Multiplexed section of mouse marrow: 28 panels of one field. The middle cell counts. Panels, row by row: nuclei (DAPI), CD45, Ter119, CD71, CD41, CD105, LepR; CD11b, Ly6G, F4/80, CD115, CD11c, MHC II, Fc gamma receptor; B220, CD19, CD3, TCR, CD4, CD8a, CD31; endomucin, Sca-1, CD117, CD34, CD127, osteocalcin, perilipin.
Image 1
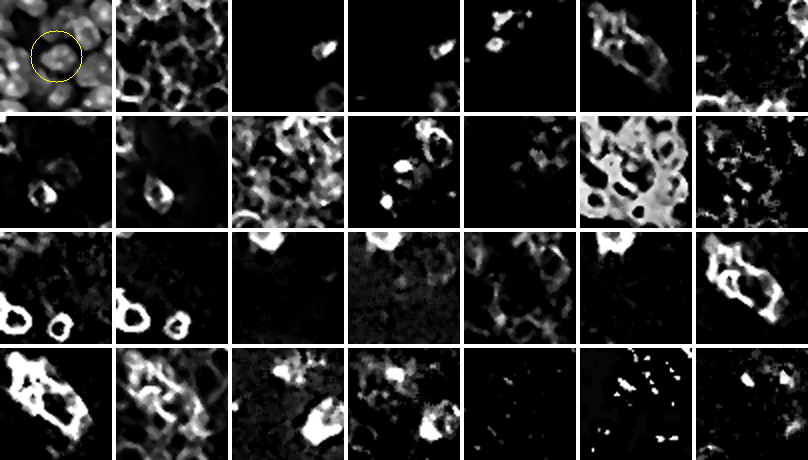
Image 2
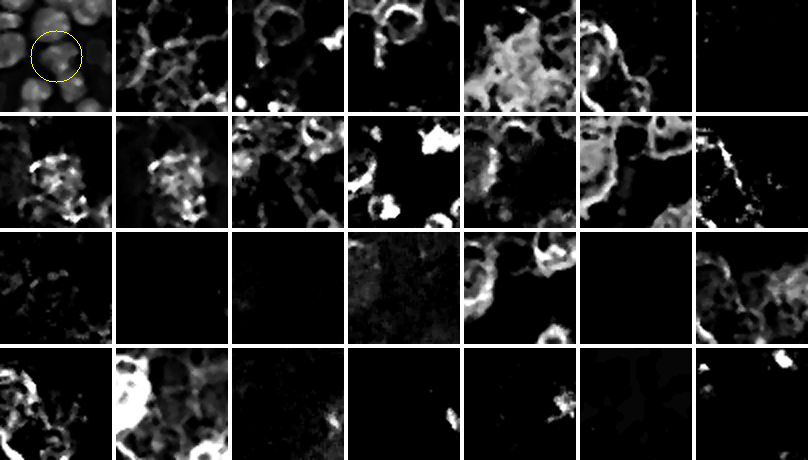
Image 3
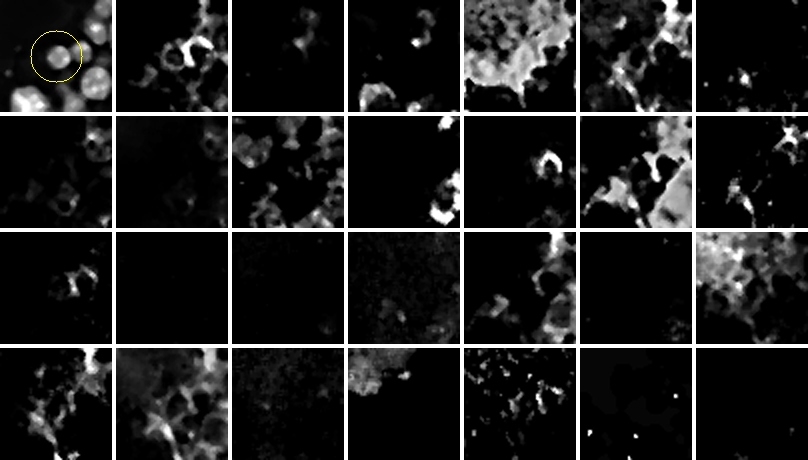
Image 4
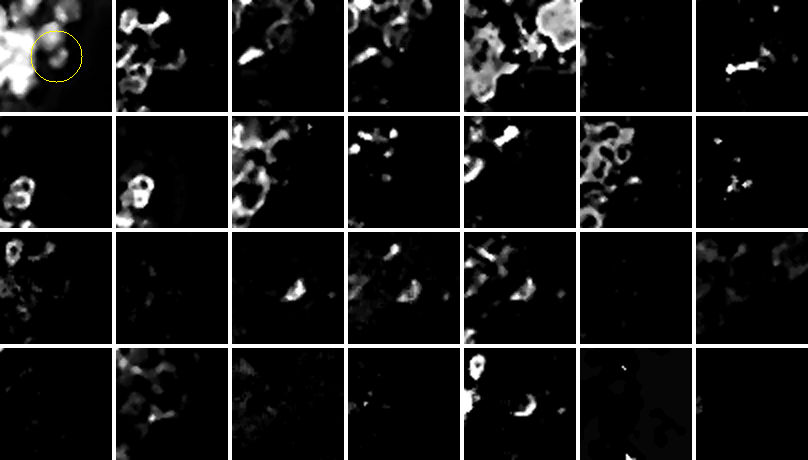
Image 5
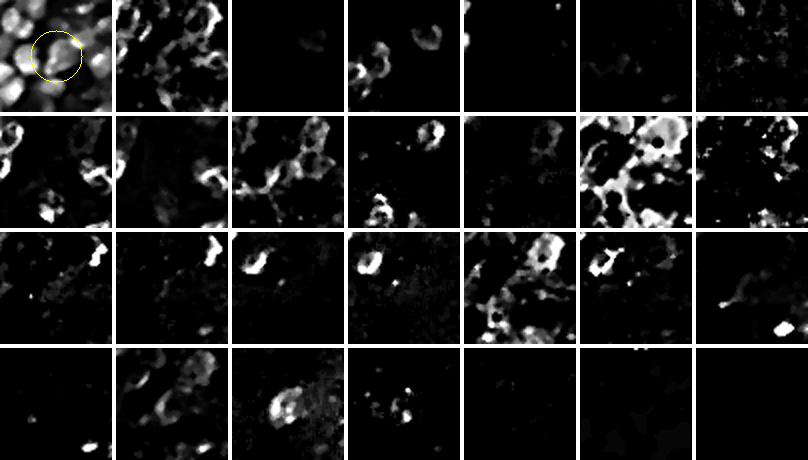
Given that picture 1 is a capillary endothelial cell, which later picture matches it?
3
